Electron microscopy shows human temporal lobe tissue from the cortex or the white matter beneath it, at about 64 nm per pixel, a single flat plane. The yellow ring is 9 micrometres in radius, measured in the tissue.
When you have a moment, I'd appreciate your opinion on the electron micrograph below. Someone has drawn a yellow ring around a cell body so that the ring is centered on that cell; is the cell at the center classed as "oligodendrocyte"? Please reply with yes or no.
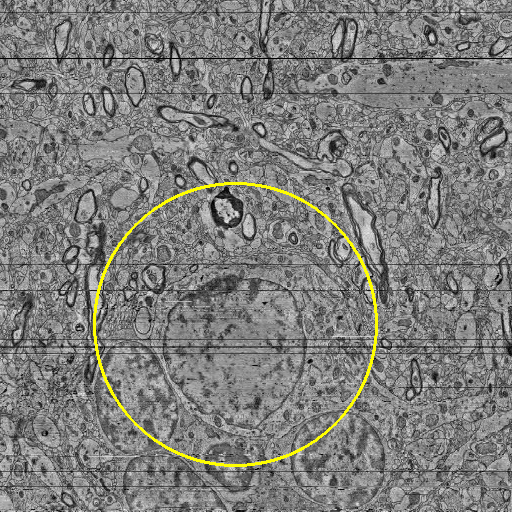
No, that cell belongs to another kind.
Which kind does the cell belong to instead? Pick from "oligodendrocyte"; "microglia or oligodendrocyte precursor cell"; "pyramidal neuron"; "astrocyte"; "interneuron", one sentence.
It is an interneuron that the ring is centred on.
